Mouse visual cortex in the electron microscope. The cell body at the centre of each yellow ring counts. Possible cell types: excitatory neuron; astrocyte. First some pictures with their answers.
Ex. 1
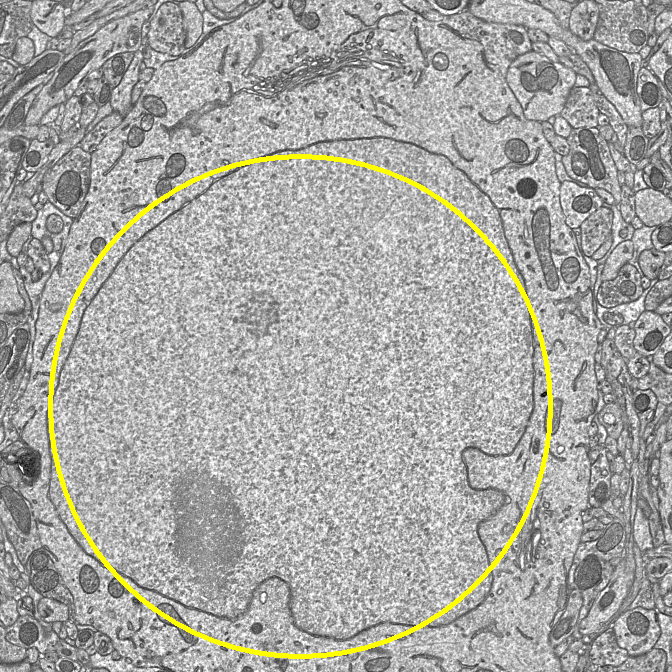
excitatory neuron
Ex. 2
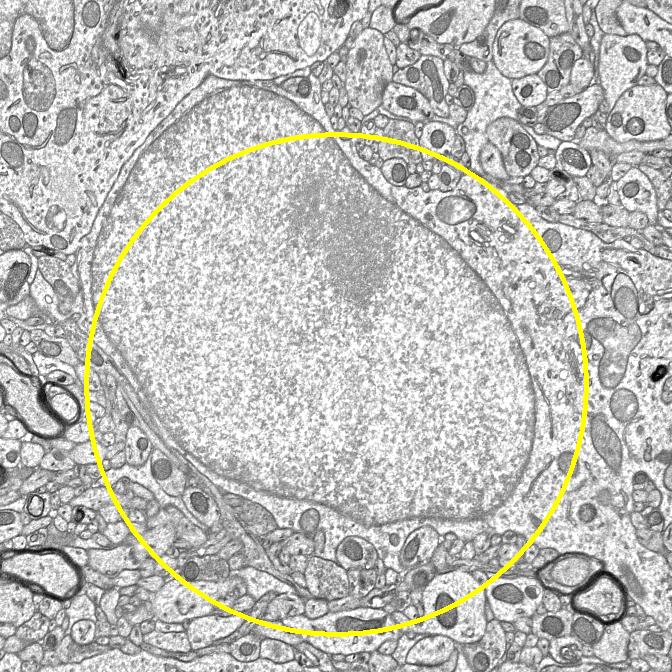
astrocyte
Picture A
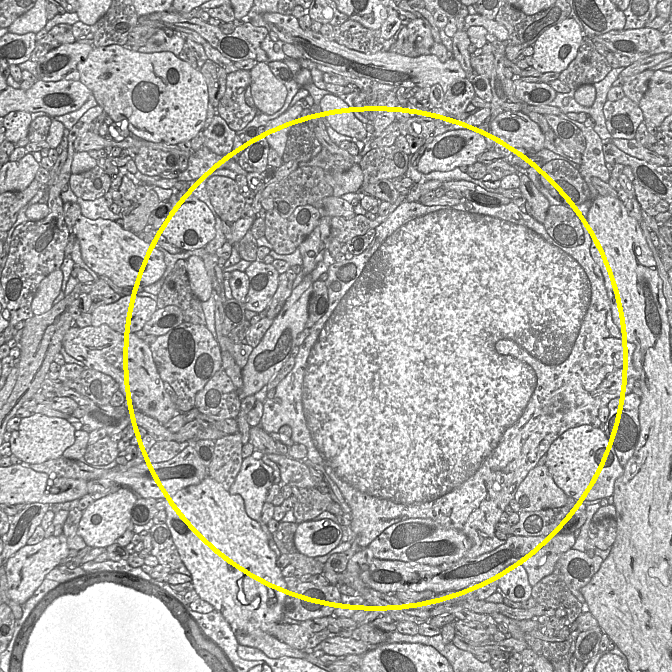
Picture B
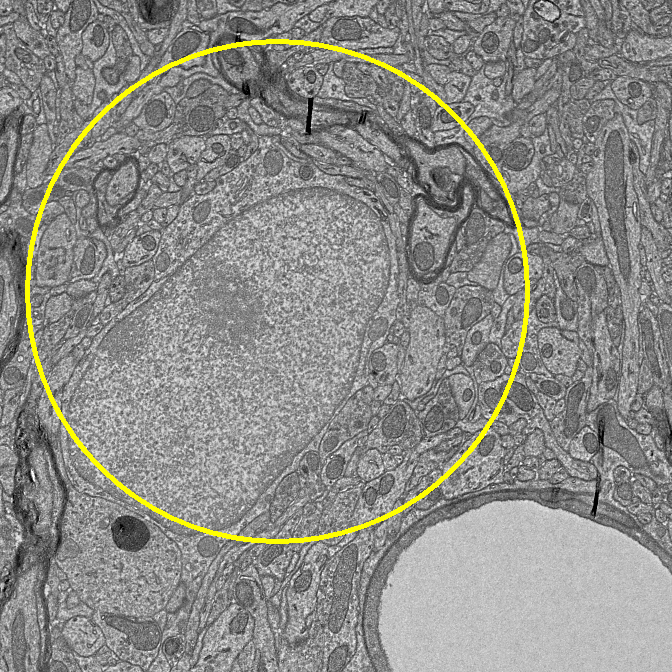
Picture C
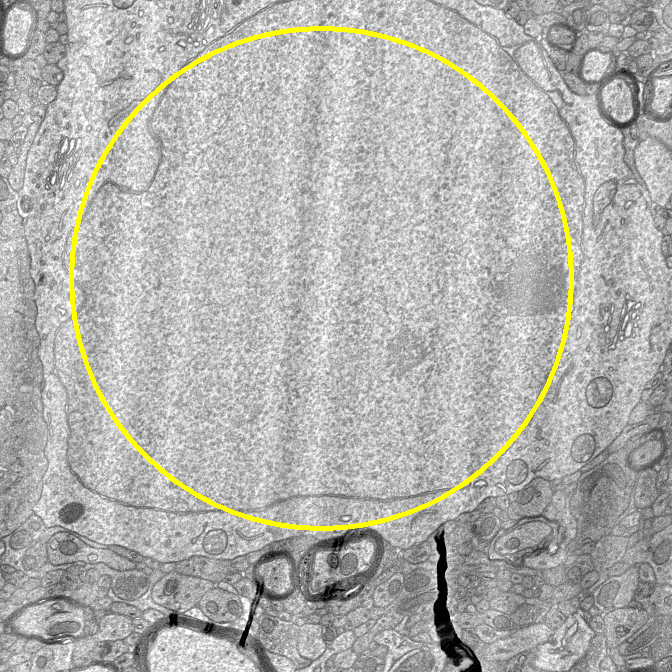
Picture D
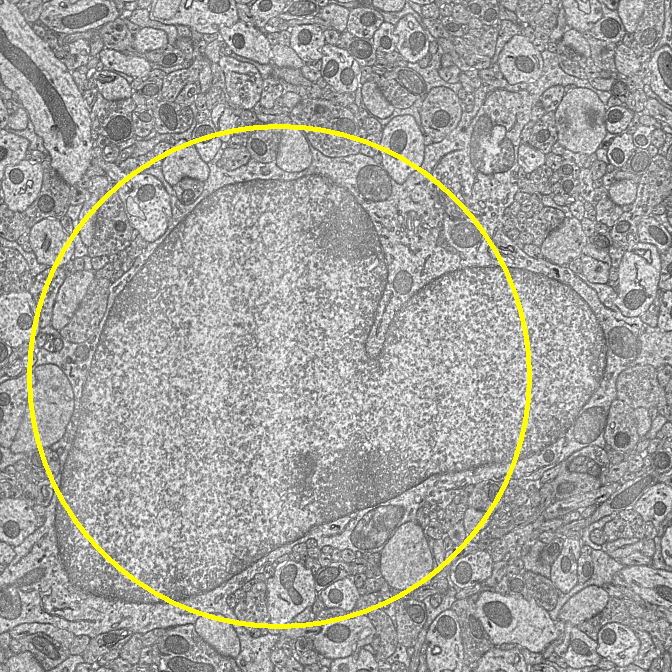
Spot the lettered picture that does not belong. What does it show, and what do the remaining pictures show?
C differs and shows excitatory neuron; the others show astrocyte.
